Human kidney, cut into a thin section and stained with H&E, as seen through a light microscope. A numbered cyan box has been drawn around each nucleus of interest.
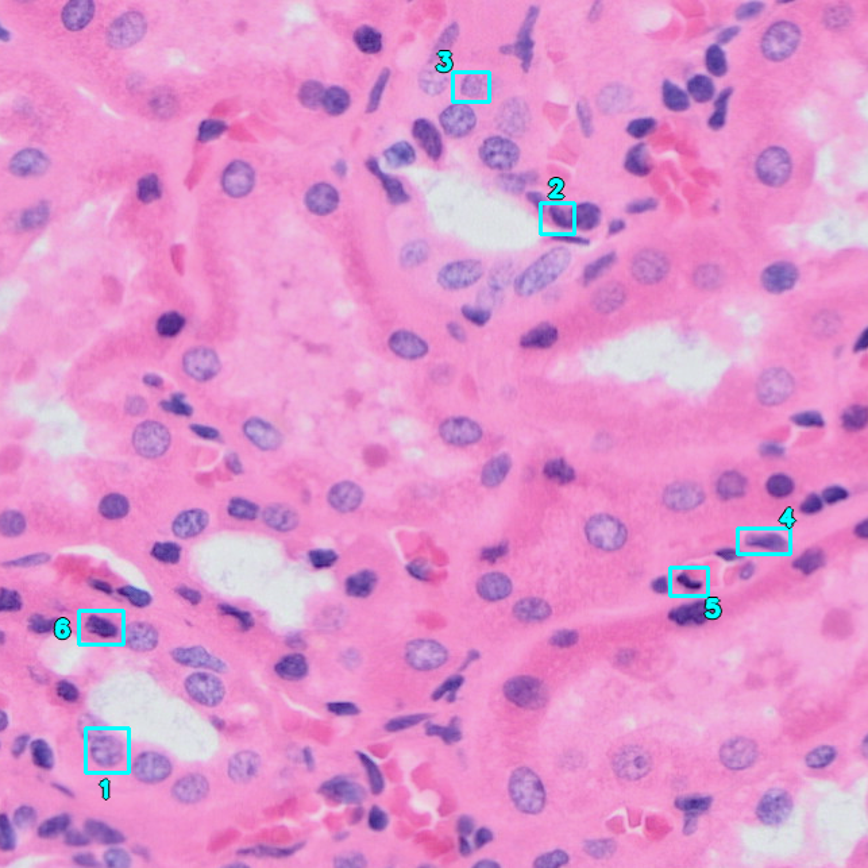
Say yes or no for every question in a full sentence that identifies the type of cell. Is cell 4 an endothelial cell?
Yes, the cell marked by the number 4 is an endothelial cell.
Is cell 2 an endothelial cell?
No, that is wrong: cell 2 is a collecting duct cell, and not an endothelial cell.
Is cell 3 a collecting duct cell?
Yes, in this tissue section, number 3 is a collecting duct cell.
